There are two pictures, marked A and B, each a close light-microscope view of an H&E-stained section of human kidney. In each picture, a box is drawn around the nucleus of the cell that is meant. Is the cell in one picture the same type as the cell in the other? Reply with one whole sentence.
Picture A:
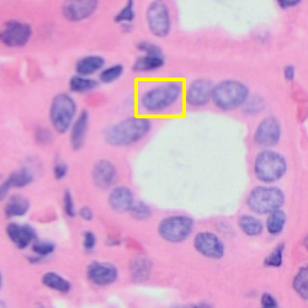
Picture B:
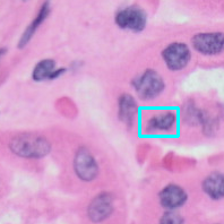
Yes, they are the same type: both are collecting duct cells.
